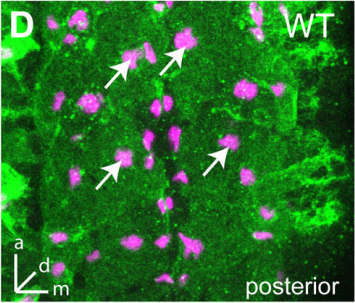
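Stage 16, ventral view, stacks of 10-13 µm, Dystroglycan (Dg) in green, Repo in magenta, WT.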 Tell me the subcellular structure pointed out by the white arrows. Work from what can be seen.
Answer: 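Arrows point to small oval magenta spots. The spots are scattered in a roughly bilateral pattern. On this evidence: glia nuclei.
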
